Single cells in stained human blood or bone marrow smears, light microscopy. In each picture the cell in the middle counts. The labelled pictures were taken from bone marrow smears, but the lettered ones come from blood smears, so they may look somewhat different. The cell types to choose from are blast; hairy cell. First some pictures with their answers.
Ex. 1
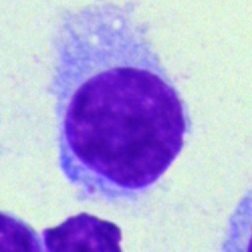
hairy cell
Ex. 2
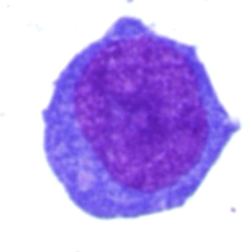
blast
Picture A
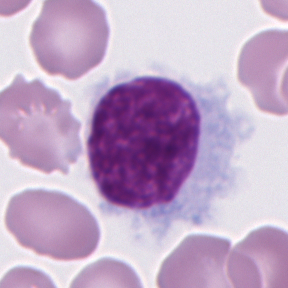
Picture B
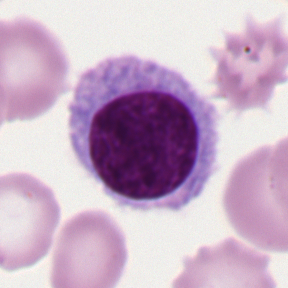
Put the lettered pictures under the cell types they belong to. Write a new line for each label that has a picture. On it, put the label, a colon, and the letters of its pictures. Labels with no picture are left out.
hairy cell: A, B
